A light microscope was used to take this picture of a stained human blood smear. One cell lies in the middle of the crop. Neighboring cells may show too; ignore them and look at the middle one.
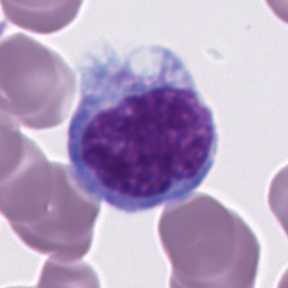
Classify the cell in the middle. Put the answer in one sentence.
The middle of this crop is occupied by a monocyte.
